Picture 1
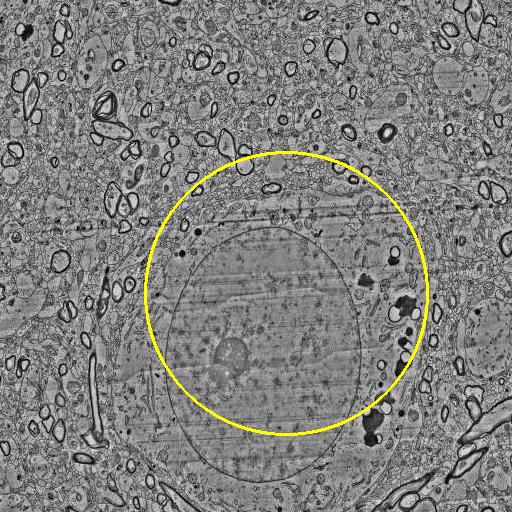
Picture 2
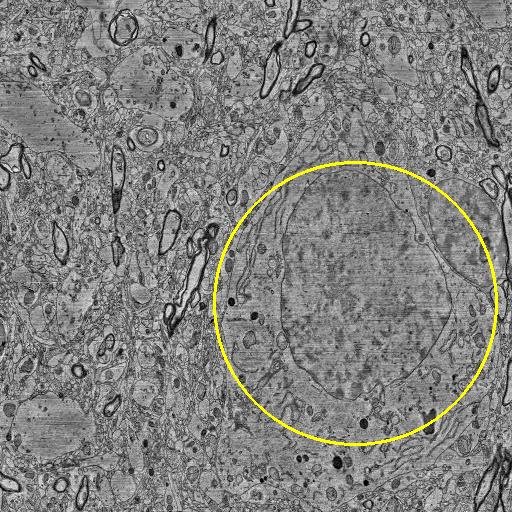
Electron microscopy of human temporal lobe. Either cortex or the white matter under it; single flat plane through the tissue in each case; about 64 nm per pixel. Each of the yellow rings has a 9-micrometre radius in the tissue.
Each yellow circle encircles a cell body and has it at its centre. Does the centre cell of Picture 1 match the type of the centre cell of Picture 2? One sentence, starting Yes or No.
Yes, the cell centred in Picture 1 and the one in Picture 2 share a type.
